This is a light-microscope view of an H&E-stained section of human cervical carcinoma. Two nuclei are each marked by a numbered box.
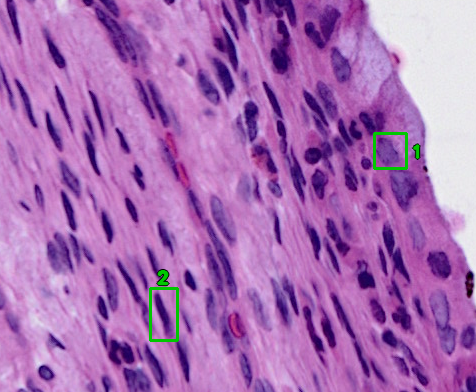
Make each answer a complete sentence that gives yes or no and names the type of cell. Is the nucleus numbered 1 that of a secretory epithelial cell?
Yes, the nucleus numbered 1 belongs to a secretory epithelial cell.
